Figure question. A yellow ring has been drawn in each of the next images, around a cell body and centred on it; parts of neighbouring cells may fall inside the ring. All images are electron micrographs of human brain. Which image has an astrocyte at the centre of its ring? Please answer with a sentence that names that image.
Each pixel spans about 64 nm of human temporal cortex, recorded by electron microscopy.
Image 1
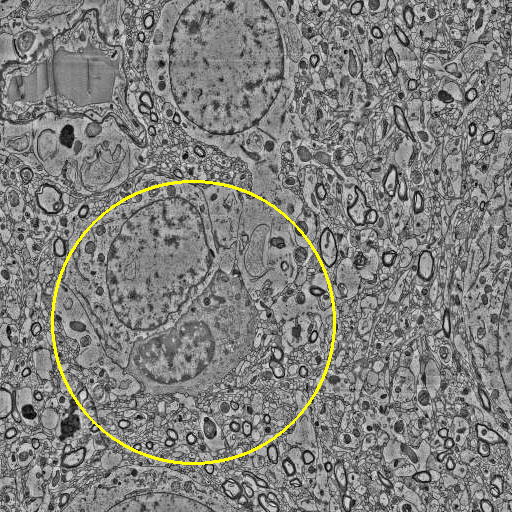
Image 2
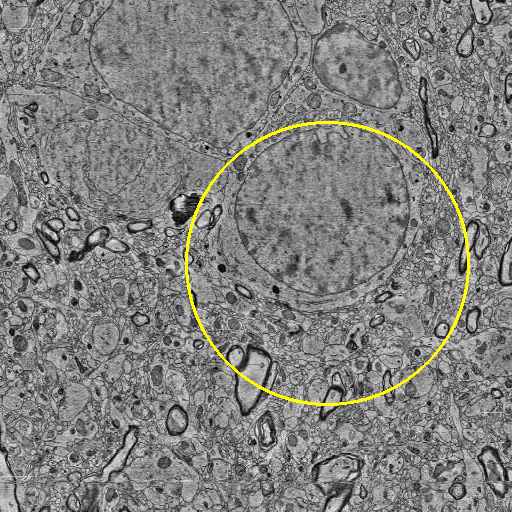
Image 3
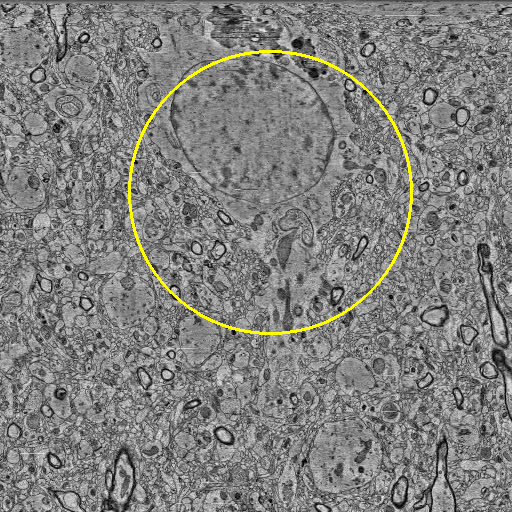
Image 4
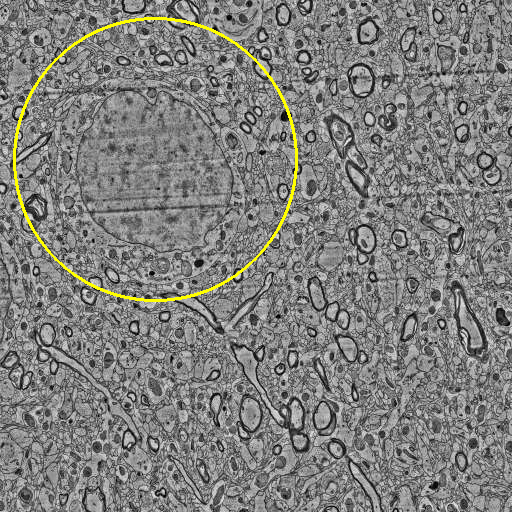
The cell at the centre of the ring in Image 3 is of that kind.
